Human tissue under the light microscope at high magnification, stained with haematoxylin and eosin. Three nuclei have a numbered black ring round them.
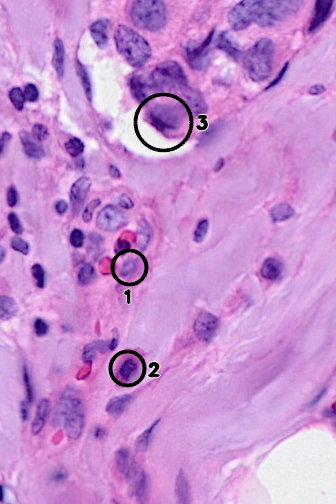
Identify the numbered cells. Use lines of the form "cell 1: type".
cell 1: endothelial cell
cell 2: mast cell
cell 3: carcinoma cell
